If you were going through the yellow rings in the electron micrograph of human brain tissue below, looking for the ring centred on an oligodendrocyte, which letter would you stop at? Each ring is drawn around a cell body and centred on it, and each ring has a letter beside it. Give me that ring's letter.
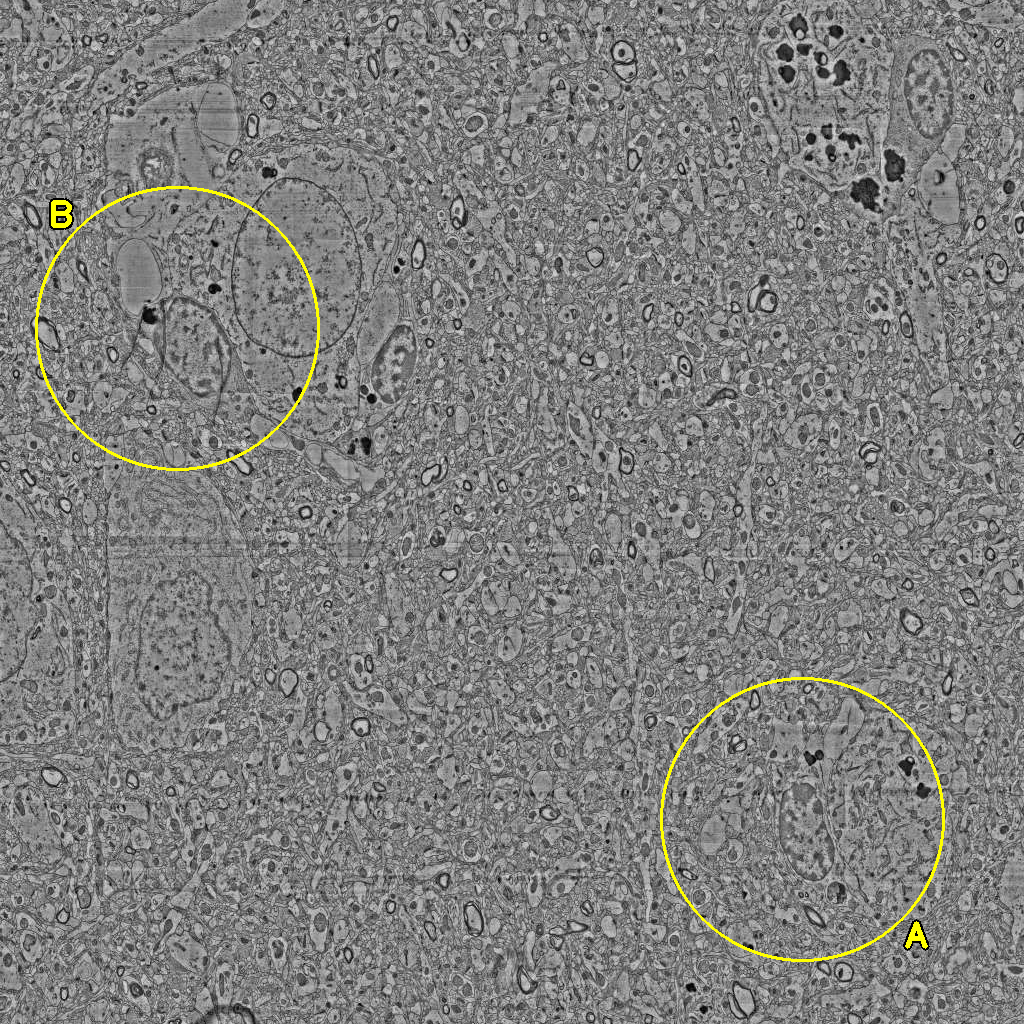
B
